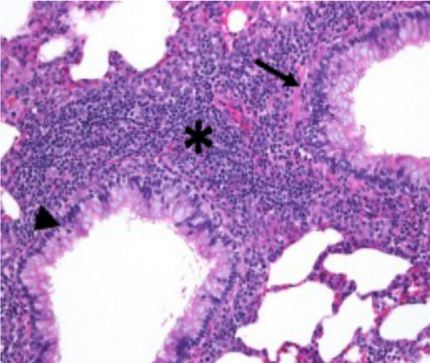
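This section of lung shows bronchioles lined by tall columnar epithelium with pale cytoplasm, separated by a dense sheet of small round mononuclear cells with dark nuclei and scant cytoplasm. The infiltrate extends into the connective tissue just beneath the epithelial lining, and scattered dark nuclei lie within the epithelium itself. Alveolar spaces with thin walls occupy the lower right of the field.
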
